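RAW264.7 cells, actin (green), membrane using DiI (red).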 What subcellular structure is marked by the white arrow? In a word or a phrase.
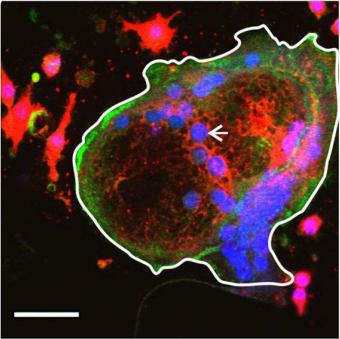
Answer: Osteoclast nucleus.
